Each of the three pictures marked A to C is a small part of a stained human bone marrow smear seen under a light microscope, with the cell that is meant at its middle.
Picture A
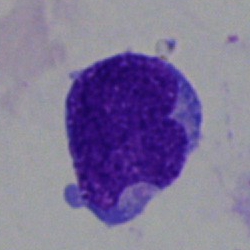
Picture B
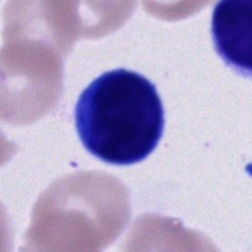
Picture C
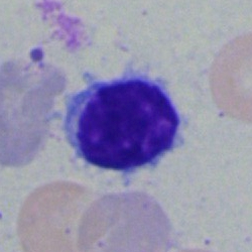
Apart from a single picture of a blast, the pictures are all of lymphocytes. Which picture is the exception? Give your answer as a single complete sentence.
Picture A is the one that shows the blast.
